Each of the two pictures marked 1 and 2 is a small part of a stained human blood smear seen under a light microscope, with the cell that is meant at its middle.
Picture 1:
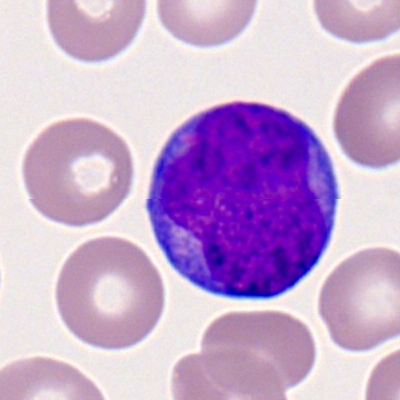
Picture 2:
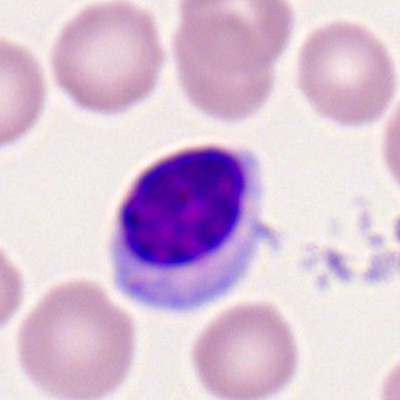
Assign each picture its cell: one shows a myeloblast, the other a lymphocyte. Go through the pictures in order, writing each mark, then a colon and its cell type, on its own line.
1: myeloblast
2: lymphocyte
